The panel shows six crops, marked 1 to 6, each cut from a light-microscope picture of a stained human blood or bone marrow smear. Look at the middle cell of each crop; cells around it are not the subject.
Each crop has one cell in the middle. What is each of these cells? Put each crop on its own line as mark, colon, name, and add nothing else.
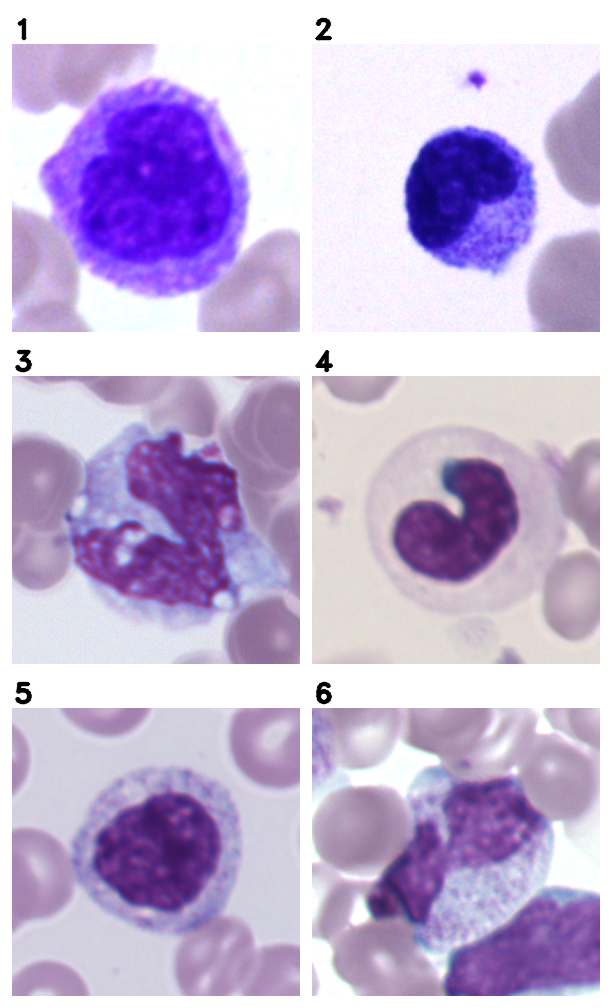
1: monocyte
2: metamyelocyte
3: monocyte
4: band neutrophil
5: metamyelocyte
6: band neutrophil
